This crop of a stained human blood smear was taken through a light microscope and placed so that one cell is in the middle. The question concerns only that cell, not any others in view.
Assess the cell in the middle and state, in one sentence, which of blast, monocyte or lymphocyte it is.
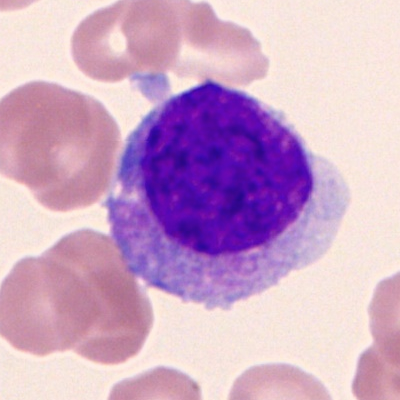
For this crop, the cell in the middle is a blast.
